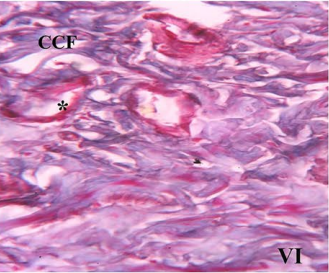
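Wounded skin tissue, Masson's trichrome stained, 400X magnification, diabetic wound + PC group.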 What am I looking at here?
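Thick, wavy blue bundles of collagen fibres fill most of the field, running in different directions and leaving small clear spaces between them. Among the blue fibres lie several rounded structures outlined in red, some with an open centre, which look like cross-cut hollow structures such as small vessels or appendages. Few individual nuclei are visible; the picture is dominated by the fibrous matrix rather than by cells.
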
